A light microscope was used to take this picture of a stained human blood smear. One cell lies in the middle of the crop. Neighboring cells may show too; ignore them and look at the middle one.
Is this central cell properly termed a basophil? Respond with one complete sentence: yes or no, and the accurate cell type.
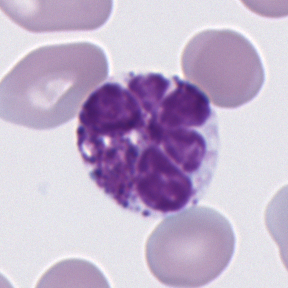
Yes, the cell in the center of this crop is a basophil.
